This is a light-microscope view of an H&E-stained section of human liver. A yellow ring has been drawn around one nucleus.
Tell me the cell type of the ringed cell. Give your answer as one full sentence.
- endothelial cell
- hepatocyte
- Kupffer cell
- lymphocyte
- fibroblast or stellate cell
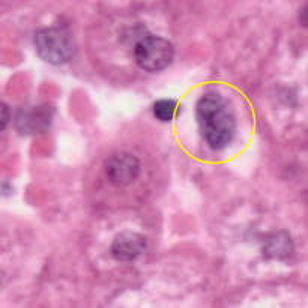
Assigned to a cell type, the ringed cell is a Kupffer cell.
